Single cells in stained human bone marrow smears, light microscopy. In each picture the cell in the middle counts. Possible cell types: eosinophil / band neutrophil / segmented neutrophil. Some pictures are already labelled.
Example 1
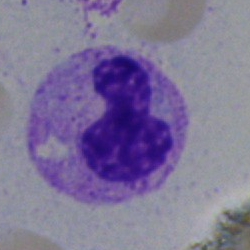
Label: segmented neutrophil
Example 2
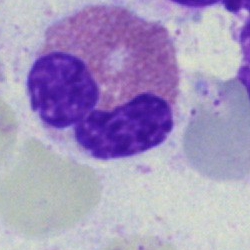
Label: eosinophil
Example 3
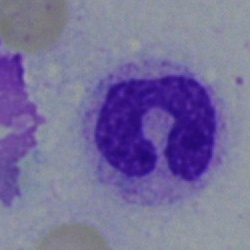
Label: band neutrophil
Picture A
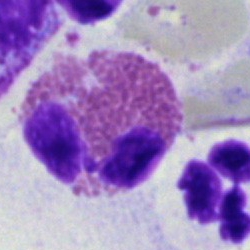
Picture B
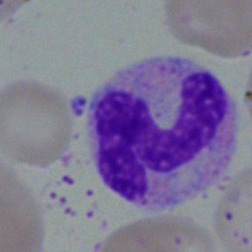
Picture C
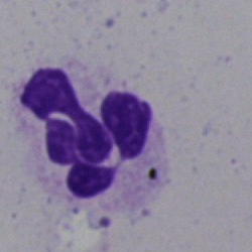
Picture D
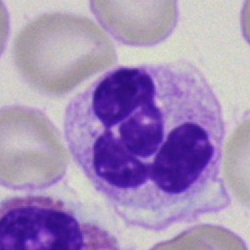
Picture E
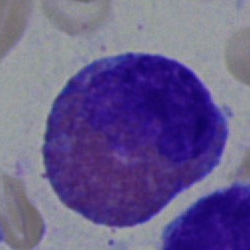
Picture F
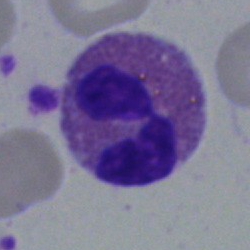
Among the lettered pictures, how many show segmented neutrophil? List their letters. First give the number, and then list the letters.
Count: 2 (C, D)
